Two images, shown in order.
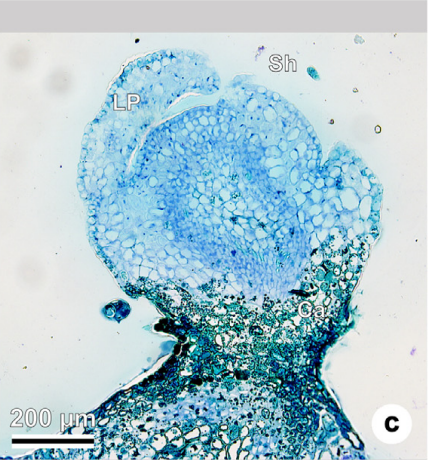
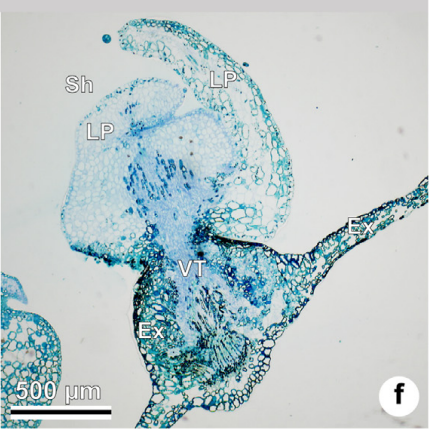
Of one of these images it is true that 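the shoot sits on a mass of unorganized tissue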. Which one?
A: the first image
